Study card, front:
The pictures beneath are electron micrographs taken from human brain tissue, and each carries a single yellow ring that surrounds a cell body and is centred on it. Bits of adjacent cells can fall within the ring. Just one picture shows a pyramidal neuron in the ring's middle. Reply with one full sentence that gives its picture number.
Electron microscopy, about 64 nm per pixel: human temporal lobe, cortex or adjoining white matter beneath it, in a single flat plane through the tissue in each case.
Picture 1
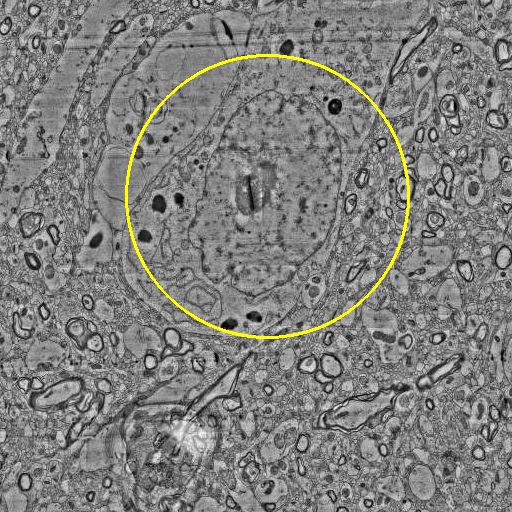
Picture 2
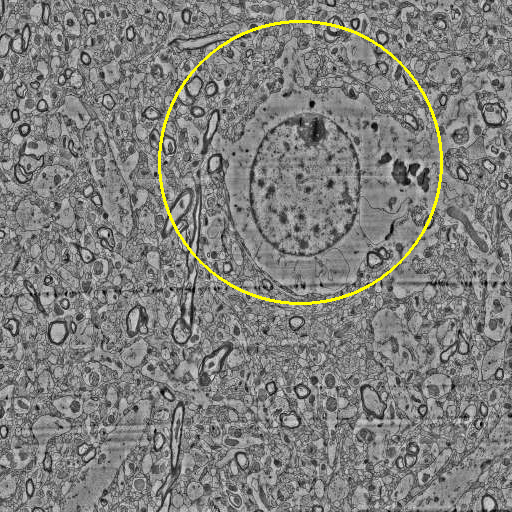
Picture 1 is the one whose ring has the requested cell at its centre.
